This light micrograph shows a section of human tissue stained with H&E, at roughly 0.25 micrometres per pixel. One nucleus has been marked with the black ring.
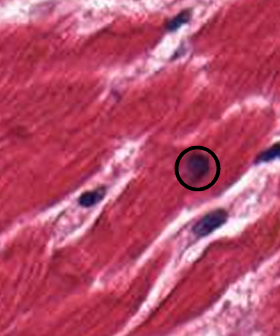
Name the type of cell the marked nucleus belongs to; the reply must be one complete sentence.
It is a cardiomyocyte that the marked nucleus belongs to.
